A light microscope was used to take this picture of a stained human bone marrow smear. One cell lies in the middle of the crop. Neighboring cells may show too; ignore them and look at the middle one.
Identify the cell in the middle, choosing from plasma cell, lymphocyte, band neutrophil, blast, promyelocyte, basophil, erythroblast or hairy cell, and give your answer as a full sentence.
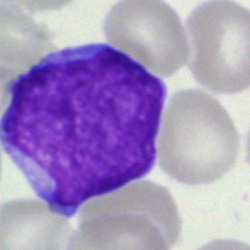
The identification for the central cell is a blast.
